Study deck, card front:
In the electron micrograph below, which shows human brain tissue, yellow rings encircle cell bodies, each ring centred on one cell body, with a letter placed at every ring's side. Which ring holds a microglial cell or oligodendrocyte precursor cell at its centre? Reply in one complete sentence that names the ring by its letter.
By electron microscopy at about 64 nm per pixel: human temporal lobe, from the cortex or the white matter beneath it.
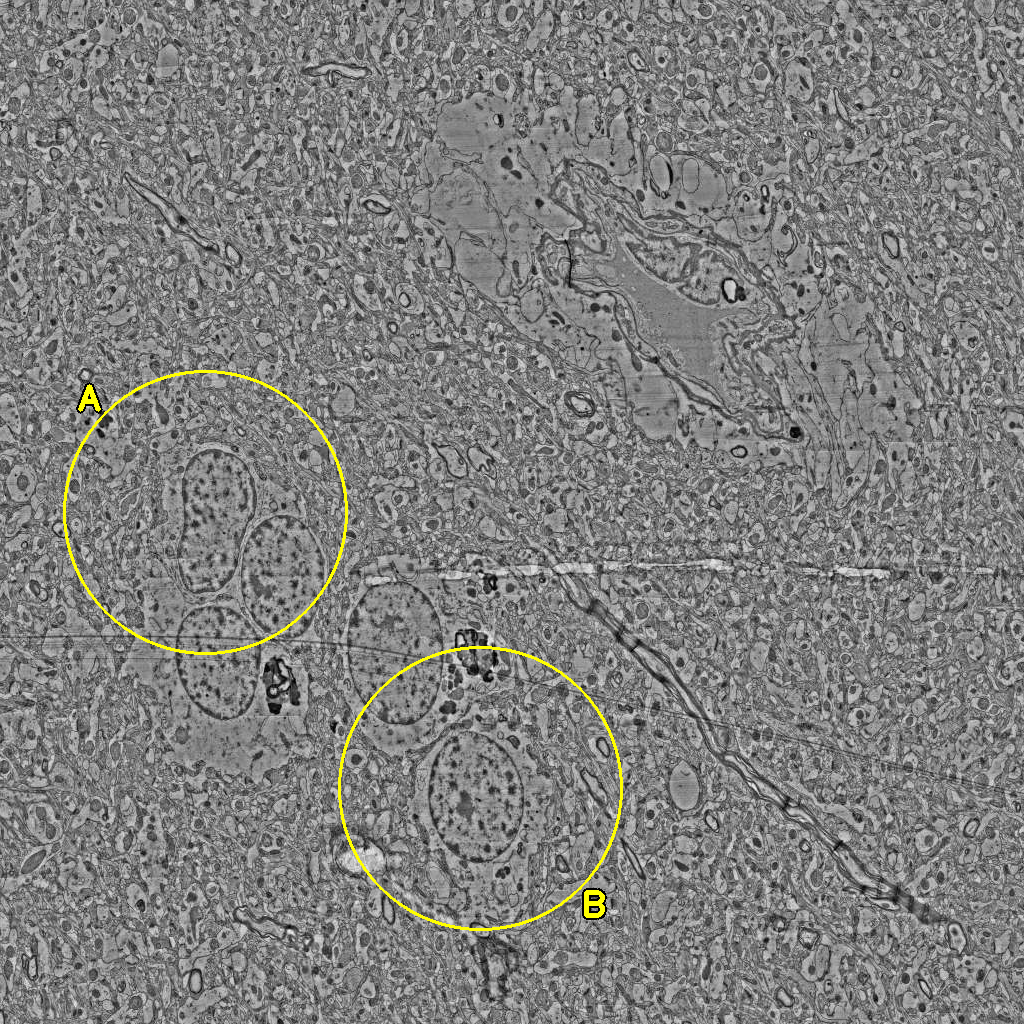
The cell asked for sits at the centre of ring A in the picture.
